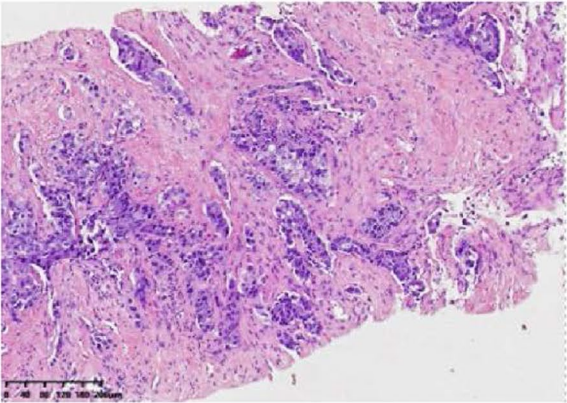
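This is prostatic tissue in which irregular nests, cords and small clusters of epithelial tumour cells with dark purple nuclei lie scattered through a pale pink fibromuscular stroma. The tumour cells are crowded, with enlarged, hyperchromatic nuclei and scant to moderate cytoplasm, and only a few poorly formed lumina are visible. The clusters have jagged outlines and are often separated from the surrounding stroma by narrow clear spaces. No orderly, well-formed glands with an intact two-layered lining are seen. This infiltrative pattern of solid nests with little gland formation fits a poorly differentiated prostate adenocarcinoma.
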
